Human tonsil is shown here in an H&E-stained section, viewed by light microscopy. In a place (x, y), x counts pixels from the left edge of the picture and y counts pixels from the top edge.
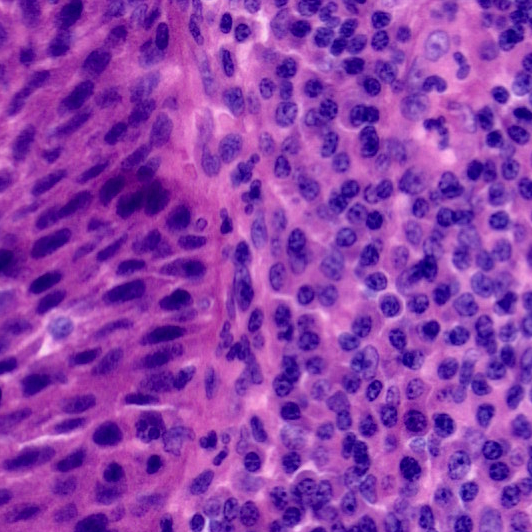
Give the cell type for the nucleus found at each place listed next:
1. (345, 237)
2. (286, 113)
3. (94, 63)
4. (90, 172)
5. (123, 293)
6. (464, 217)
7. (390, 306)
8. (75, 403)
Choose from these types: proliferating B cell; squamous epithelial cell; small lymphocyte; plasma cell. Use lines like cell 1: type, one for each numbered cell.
cell 1: plasma cell
cell 2: plasma cell
cell 3: squamous epithelial cell
cell 4: squamous epithelial cell
cell 5: squamous epithelial cell
cell 6: plasma cell
cell 7: plasma cell
cell 8: squamous epithelial cell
